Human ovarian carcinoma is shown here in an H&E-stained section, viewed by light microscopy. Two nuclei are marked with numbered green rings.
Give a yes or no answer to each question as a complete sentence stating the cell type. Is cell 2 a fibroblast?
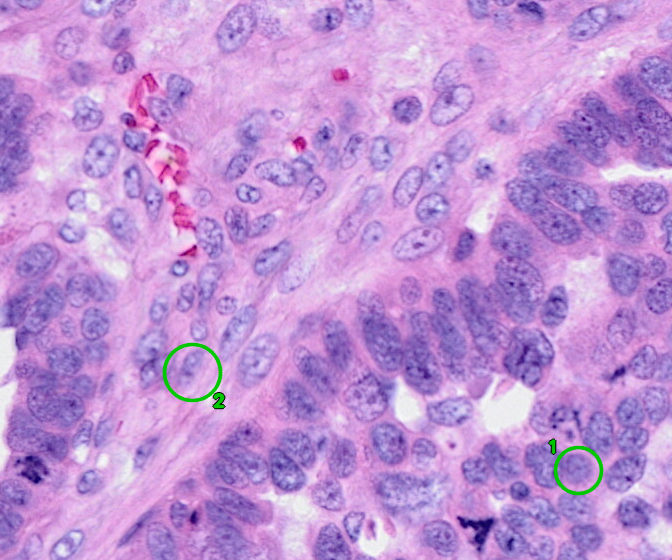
Yes, the cell bearing the number 2 is a fibroblast.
